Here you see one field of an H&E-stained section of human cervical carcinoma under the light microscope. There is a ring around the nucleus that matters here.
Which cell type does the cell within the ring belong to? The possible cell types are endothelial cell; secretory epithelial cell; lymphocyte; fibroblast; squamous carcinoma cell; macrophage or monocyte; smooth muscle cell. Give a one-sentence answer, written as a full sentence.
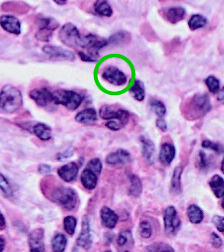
Histopathologically, the cell within the ring is a lymphocyte.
